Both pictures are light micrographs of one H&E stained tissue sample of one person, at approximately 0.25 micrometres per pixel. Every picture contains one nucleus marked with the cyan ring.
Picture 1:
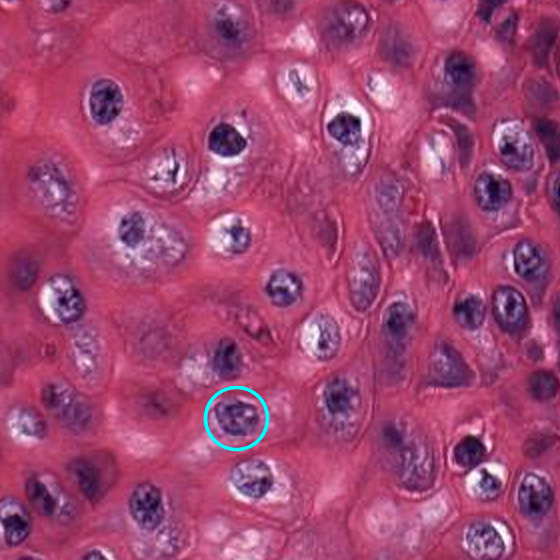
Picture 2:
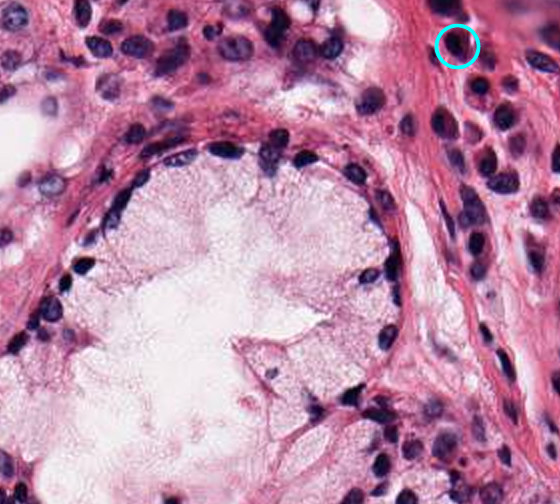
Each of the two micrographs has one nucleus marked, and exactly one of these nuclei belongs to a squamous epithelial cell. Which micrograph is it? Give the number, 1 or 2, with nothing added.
1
